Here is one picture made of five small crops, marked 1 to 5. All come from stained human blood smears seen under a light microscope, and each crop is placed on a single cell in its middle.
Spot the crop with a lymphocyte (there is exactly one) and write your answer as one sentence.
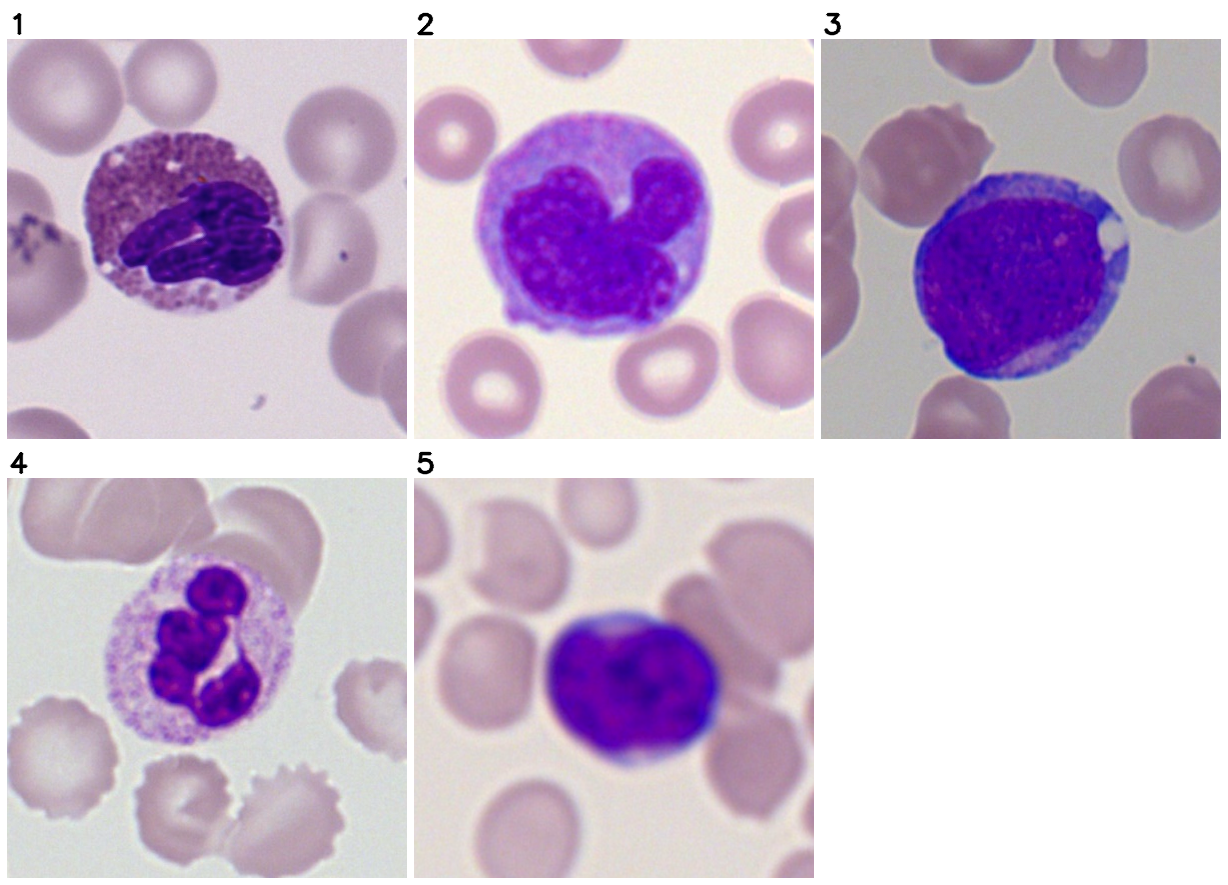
Crop 5, of the crops presented, is the one showing a lymphocyte.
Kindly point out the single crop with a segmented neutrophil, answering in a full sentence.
It is crop 4, not any other, that shows a segmented neutrophil.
